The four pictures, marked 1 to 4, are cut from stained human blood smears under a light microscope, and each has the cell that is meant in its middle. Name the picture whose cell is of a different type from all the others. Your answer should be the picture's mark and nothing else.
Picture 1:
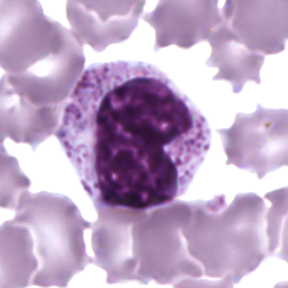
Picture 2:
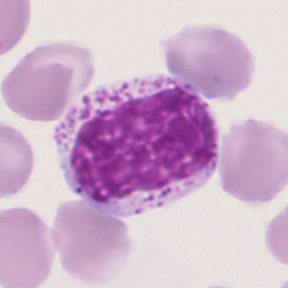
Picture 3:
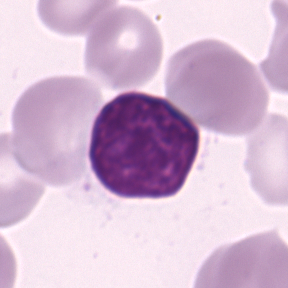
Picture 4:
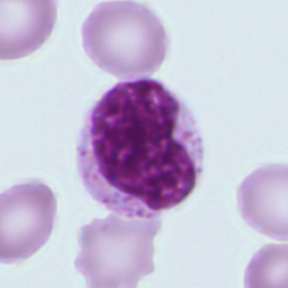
3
